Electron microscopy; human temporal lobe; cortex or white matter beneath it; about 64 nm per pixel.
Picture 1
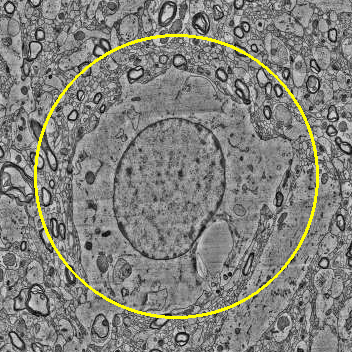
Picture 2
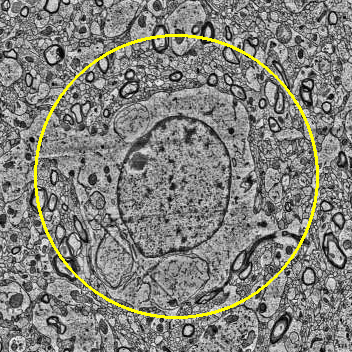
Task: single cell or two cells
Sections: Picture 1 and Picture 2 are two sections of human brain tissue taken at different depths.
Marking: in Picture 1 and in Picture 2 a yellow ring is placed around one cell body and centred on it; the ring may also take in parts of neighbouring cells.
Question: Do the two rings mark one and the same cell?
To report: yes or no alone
yes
